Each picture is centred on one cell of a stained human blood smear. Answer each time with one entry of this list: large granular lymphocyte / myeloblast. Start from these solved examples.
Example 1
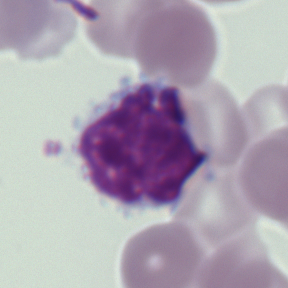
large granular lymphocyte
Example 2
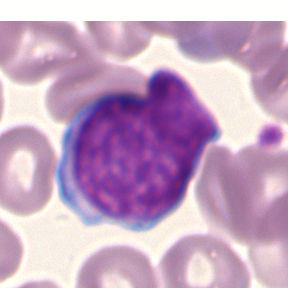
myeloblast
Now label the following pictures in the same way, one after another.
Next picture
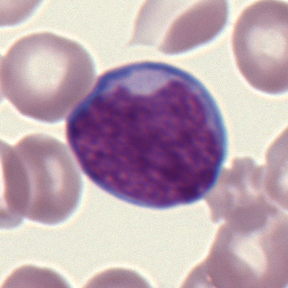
myeloblast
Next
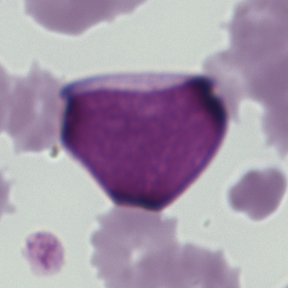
myeloblast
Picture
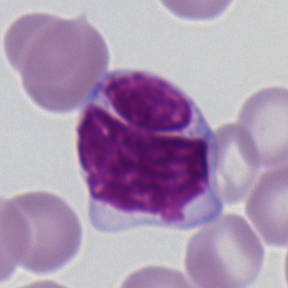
large granular lymphocyte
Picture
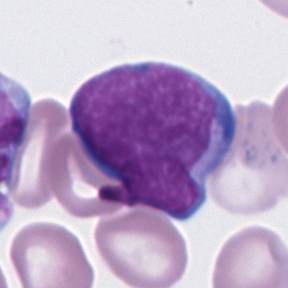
myeloblast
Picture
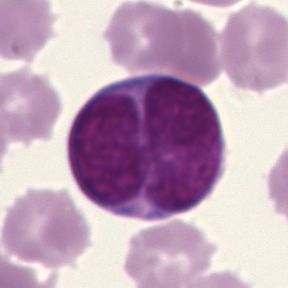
myeloblast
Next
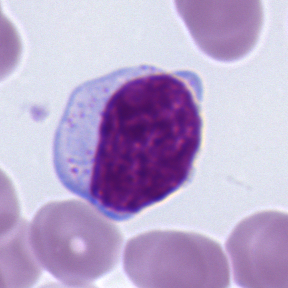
large granular lymphocyte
